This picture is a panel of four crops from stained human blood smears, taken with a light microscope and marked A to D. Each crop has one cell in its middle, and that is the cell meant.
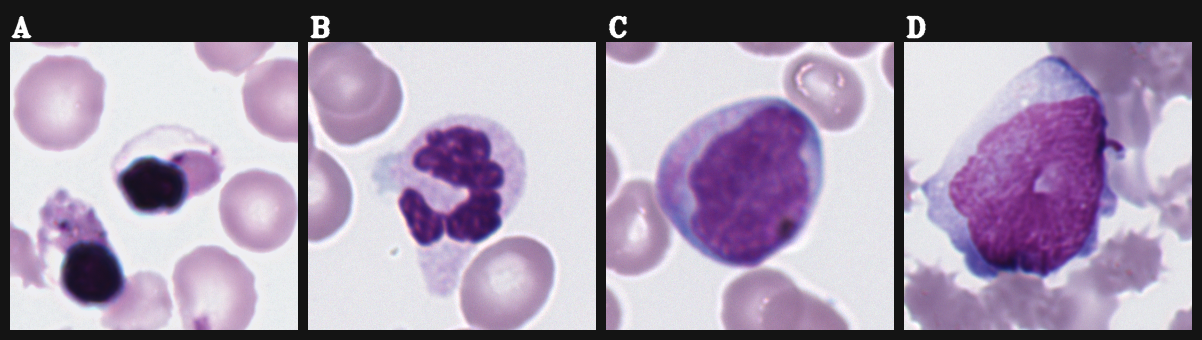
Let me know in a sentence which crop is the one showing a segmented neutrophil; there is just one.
The sole crop showing a segmented neutrophil is crop B.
